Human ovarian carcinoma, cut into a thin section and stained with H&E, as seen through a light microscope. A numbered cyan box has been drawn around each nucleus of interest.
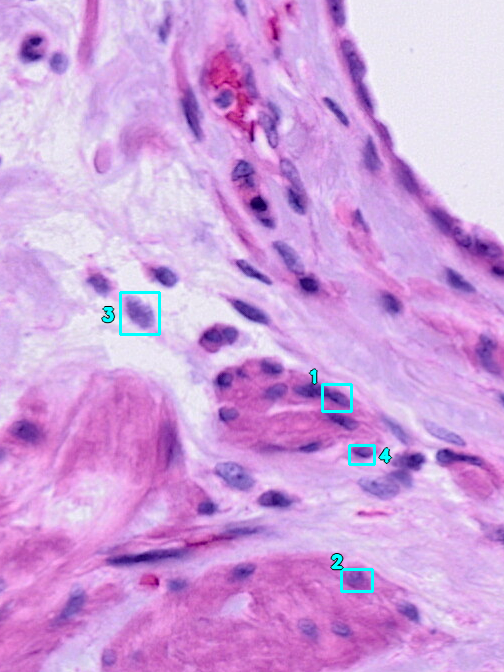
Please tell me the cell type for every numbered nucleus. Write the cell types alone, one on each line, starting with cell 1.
smooth muscle cell
smooth muscle cell
fibroblast
smooth muscle cell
